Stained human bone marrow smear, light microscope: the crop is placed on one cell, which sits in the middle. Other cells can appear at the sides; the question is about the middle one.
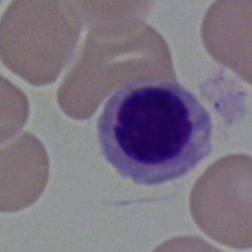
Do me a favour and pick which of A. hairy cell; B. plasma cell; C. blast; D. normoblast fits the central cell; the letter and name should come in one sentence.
The correct option here is D; the middle cell is a normoblast.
